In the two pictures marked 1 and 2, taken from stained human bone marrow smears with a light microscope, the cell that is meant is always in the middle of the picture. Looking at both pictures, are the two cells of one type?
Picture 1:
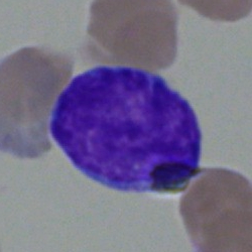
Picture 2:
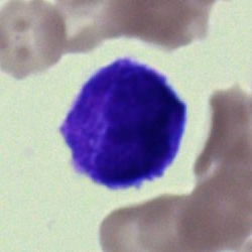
yes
